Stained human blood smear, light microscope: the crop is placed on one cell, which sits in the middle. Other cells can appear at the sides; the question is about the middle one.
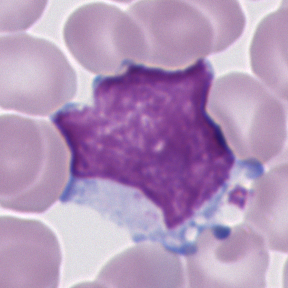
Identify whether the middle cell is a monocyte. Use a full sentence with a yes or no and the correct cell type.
Yes, the cell centred in this crop is a monocyte.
